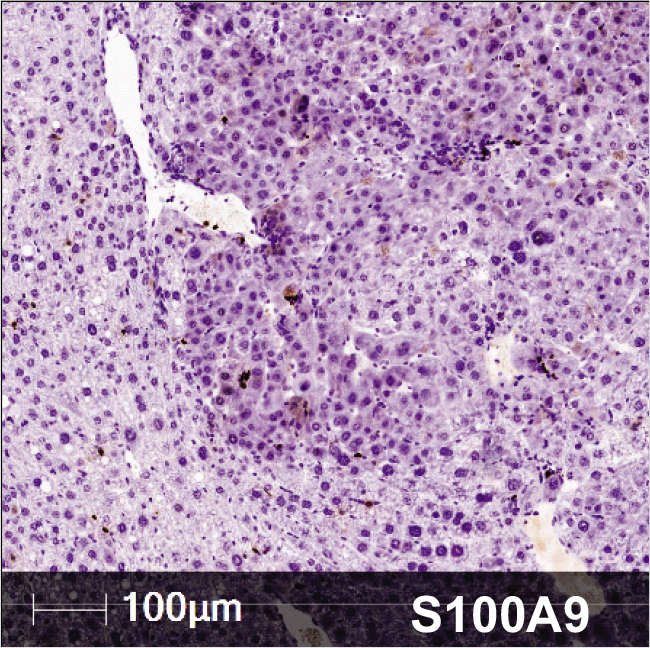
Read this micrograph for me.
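This is liver tissue made up of sheets of polygonal liver cells with round purple nuclei in a pale purple cytoplasm. Toward the middle the cells are more crowded and more darkly stained, forming a denser region that stands out from the paler surrounding parenchyma. A few open, pale vascular spaces run through the field, one elongated near the upper left. Small brown-stained cells are scattered singly and in small groups among the liver cells, much smaller than the liver cells beside them.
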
